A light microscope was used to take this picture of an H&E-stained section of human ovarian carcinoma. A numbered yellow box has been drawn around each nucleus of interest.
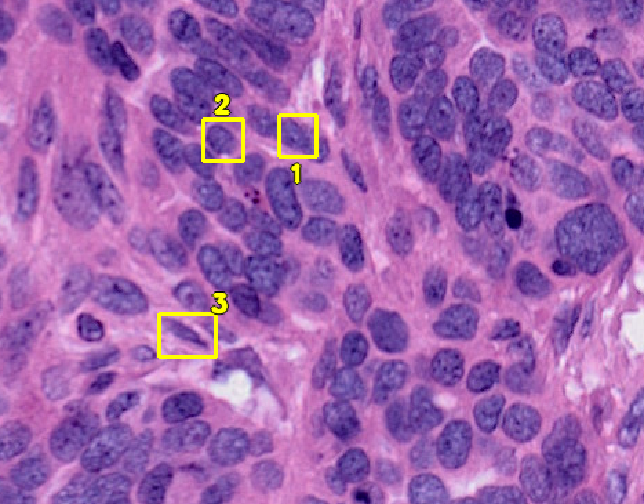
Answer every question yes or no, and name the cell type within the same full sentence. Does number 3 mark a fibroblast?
Yes, the cell with its nucleus marked 3 is a fibroblast.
